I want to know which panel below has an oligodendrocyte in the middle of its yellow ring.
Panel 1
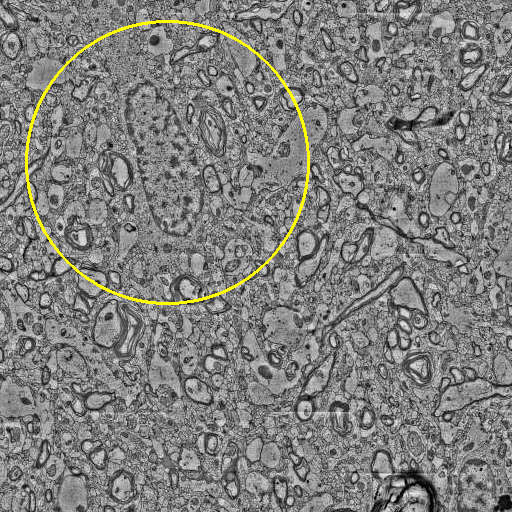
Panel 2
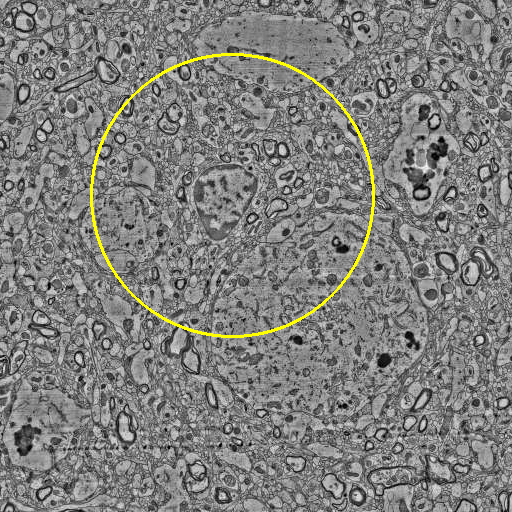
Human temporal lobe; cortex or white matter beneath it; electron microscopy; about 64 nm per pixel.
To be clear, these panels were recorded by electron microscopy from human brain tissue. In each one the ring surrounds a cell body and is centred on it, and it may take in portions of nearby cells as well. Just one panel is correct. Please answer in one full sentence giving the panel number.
Panel 1 has the requested cell sitting at the centre of its ring.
